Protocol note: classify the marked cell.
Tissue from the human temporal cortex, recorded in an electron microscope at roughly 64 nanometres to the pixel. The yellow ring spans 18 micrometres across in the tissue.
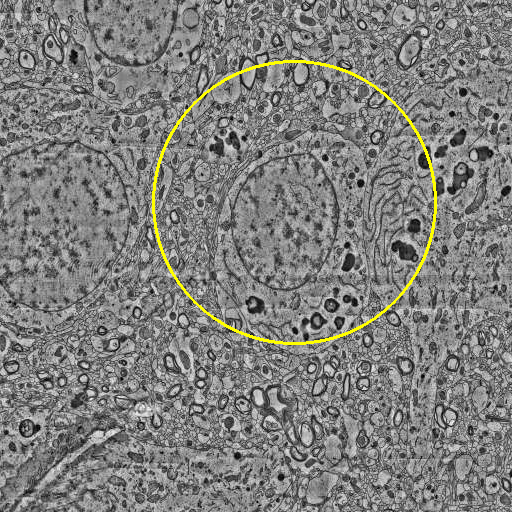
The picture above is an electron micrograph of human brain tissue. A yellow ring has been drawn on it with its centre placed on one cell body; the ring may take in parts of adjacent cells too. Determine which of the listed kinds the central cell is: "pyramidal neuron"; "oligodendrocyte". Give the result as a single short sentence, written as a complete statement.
The central cell is a pyramidal neuron.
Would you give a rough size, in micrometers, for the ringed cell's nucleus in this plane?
In this plane the nucleus spans approximately 9 by 7 micrometers.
